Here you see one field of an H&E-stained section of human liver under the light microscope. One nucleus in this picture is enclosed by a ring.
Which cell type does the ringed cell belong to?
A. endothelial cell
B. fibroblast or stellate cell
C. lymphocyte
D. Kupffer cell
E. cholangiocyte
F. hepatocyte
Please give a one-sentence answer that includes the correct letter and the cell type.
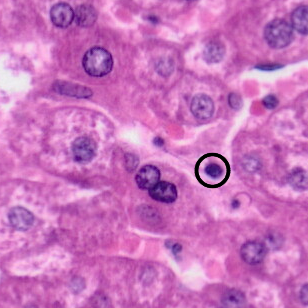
Answer with option C; the ringed cell is a lymphocyte.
